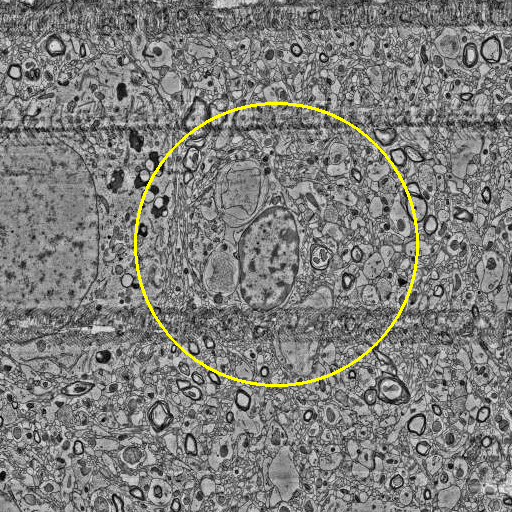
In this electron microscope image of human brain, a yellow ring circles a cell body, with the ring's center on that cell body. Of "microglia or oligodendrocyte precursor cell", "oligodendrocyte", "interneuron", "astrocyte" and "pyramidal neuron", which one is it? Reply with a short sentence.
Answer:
It is a microglial cell or oligodendrocyte precursor cell at the center of the ring.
